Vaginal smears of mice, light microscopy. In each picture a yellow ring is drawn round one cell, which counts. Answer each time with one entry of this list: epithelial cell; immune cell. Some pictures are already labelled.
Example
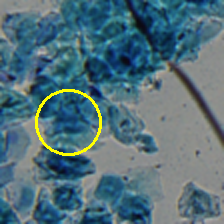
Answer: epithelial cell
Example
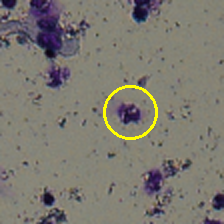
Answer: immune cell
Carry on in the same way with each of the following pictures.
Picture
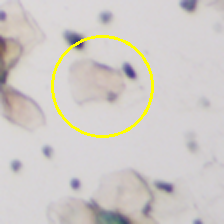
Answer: epithelial cell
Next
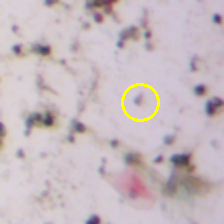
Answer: immune cell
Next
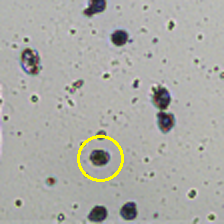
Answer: immune cell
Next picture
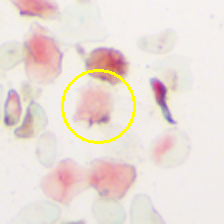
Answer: epithelial cell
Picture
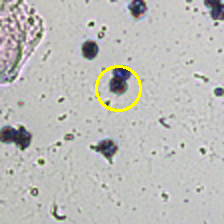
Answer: immune cell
